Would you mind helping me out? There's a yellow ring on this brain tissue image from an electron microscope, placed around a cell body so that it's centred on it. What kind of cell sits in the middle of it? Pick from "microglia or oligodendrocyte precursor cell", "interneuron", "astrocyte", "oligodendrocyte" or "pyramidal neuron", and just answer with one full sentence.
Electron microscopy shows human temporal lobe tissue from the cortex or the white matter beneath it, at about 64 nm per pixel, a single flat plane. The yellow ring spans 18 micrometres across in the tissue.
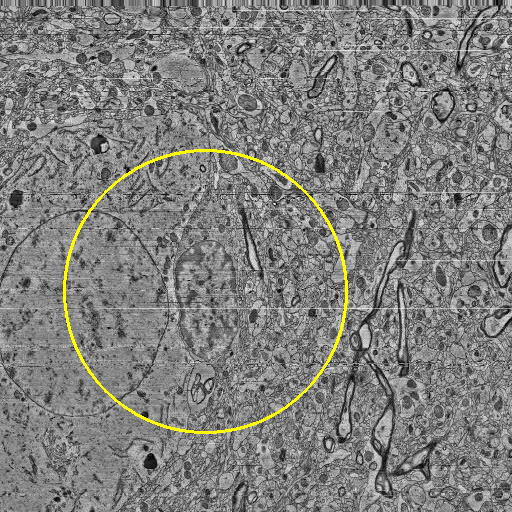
What sits in the middle of that yellow ring is an oligodendrocyte, from your choices.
